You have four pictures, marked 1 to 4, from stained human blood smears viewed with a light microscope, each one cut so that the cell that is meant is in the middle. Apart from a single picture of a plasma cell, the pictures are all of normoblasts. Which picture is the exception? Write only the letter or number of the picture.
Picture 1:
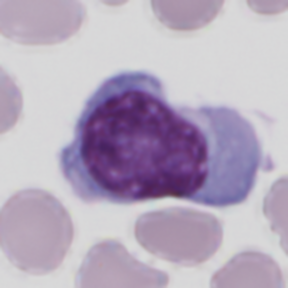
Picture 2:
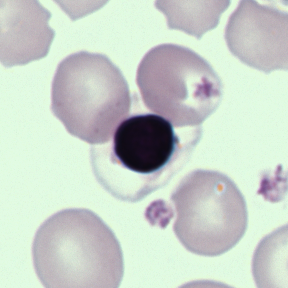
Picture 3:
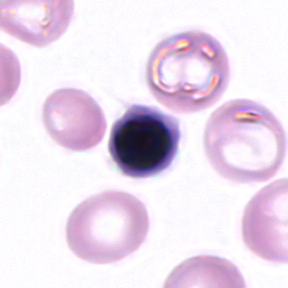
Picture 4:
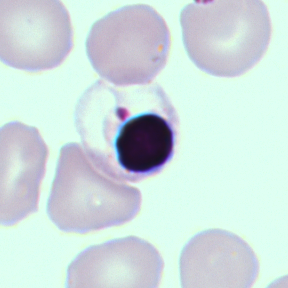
1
